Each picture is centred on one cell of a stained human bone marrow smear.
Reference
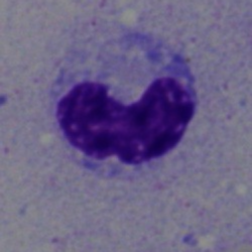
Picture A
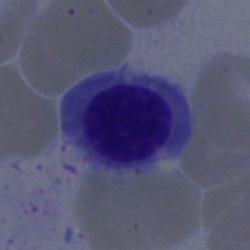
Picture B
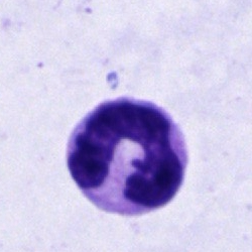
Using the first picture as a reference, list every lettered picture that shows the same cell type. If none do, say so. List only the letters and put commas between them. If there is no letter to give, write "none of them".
B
